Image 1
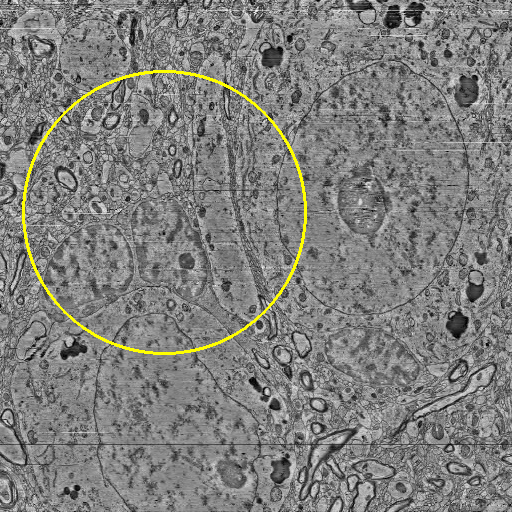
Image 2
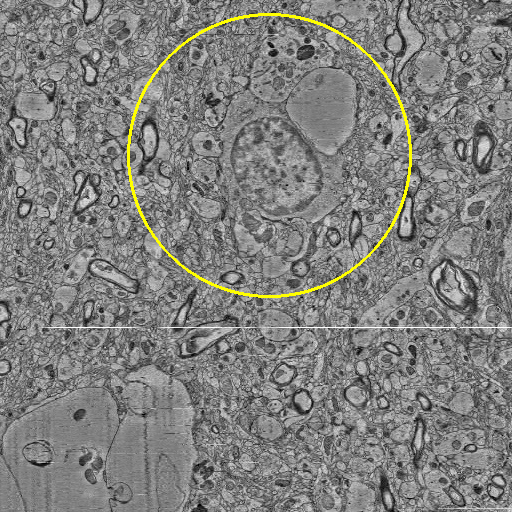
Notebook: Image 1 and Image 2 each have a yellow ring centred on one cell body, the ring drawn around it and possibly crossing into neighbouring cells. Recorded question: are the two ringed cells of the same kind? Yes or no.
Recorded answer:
yes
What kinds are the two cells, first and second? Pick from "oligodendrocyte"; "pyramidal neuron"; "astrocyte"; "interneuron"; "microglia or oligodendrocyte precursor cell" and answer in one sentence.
Each of the ringed cells, first and second, is an oligodendrocyte.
